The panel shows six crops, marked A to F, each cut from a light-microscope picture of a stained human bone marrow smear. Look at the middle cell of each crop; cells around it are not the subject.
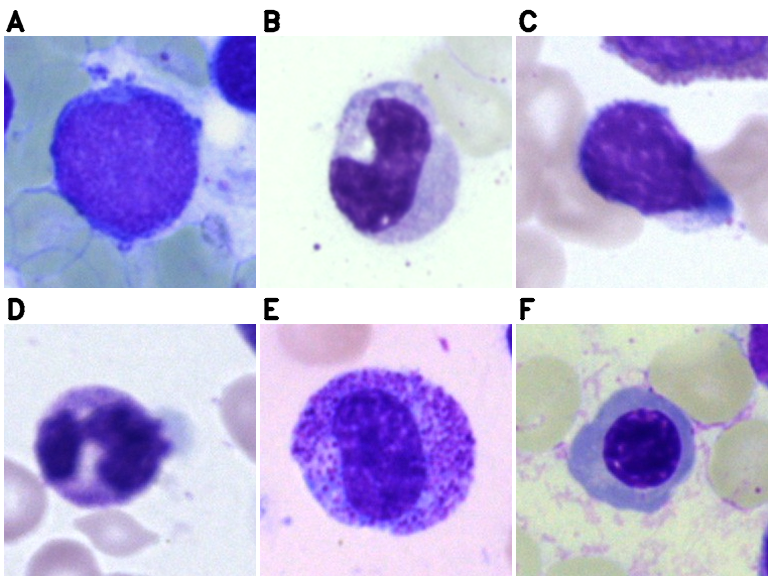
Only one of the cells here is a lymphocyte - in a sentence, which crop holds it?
On review of the set, crop C is the one showing a lymphocyte.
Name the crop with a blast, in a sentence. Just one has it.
Of the crops shown, crop A depicts a blast.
